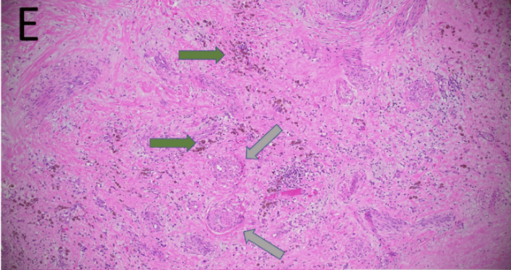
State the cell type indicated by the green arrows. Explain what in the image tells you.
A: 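Hemosiderin-laden macrophages. The arrows point to cells filled with coarse golden-brown granular pigment. Such pigmented cells are clustered in several spots of the pink stroma.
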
